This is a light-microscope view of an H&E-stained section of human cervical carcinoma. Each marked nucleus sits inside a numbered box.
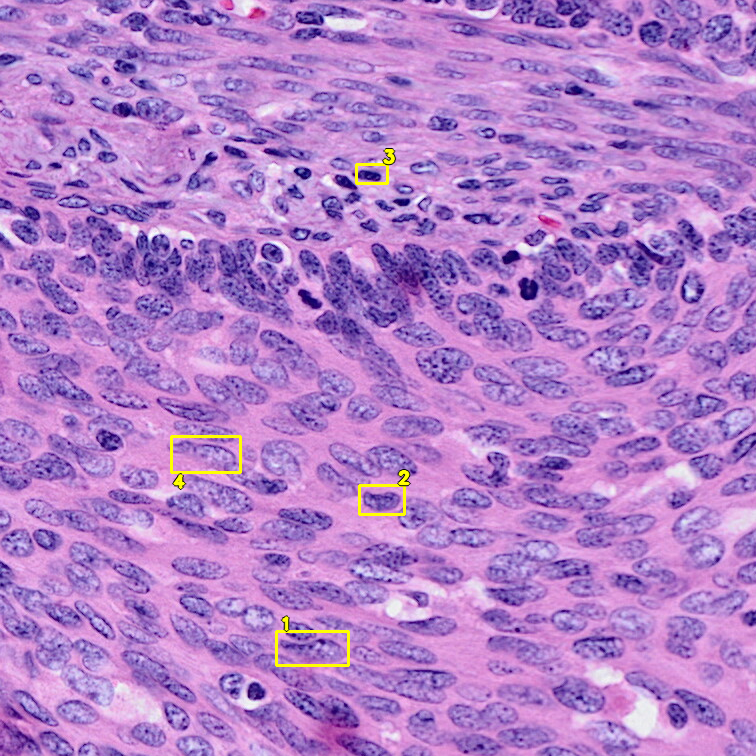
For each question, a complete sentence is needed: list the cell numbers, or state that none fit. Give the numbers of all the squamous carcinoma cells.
The numbers 1, 2 and 4 refer to cells that are squamous carcinoma cells.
